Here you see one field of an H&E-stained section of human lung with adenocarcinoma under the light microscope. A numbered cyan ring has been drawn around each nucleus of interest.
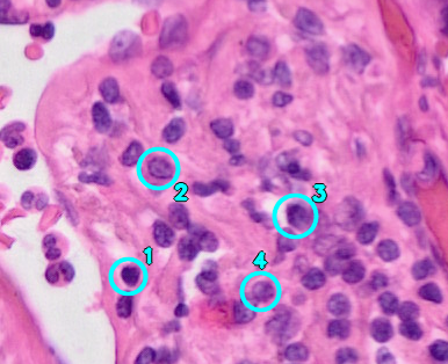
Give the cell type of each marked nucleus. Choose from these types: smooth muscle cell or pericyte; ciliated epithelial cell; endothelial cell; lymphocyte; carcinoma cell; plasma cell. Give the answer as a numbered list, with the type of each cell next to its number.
1. lymphocyte
2. plasma cell
3. lymphocyte
4. lymphocyte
